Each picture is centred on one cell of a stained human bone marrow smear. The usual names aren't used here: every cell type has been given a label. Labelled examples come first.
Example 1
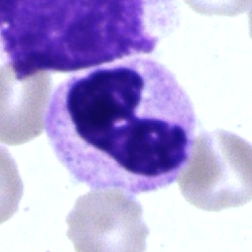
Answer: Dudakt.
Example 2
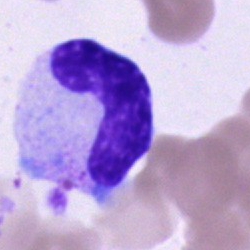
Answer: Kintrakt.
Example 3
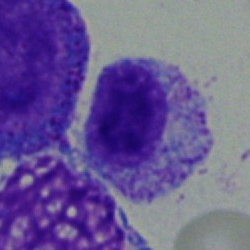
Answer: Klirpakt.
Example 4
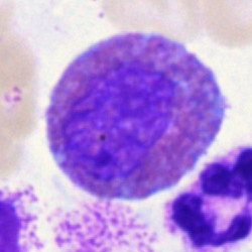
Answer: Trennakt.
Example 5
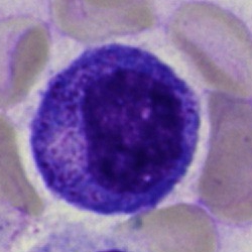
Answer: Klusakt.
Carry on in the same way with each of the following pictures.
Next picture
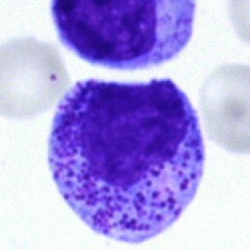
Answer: Klirpakt.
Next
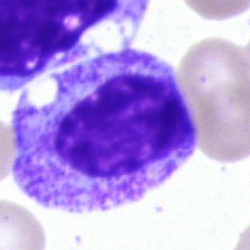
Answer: Klirpakt.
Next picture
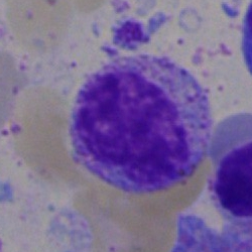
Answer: Klirpakt.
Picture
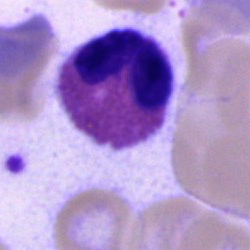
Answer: Trennakt.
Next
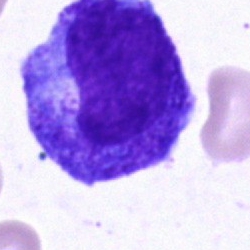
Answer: Klusakt.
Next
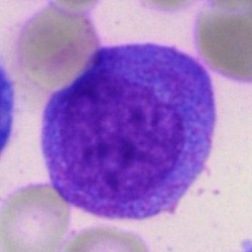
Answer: Klusakt.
